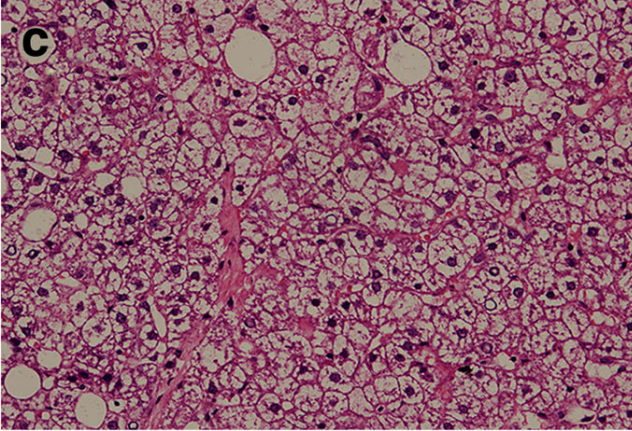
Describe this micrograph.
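This is liver tissue made of sheets of large polygonal hepatocytes whose cytoplasm is strikingly pale and clear, crossed by fine pink strands that give it a netted, vacuolated look. Each cell has a sharply drawn membrane, so the tissue resembles a mosaic of empty-looking boxes. Scattered among them are large round clear vacuoles that push aside the surrounding cytoplasm. Thin strands of pink connective tissue run between the cell plates.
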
